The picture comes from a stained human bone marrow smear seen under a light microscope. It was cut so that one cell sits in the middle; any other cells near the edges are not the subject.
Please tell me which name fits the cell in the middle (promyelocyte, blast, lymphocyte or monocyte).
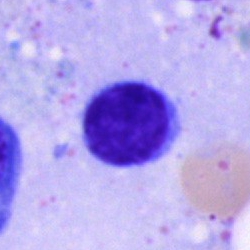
lymphocyte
